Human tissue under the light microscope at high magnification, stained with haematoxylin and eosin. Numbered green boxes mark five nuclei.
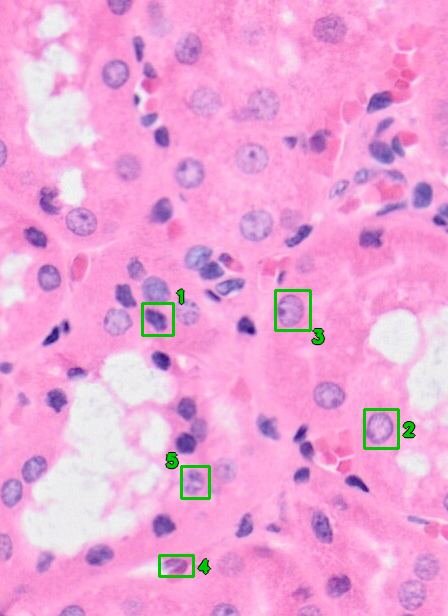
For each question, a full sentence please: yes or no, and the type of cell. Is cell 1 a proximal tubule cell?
No, cell 1 is not a proximal tubule cell; it is a loop of Henle or distal tubule cell.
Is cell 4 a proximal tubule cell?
No, cell 4 represents an endothelial cell rather than a proximal tubule cell.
